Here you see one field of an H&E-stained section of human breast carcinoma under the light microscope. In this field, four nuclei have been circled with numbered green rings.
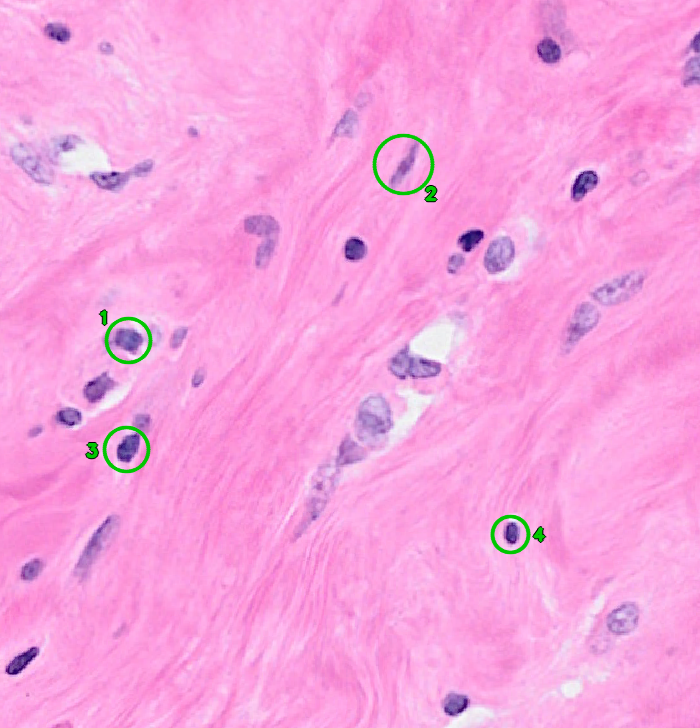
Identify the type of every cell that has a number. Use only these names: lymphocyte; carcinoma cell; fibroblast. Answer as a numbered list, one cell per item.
1. lymphocyte
2. fibroblast
3. lymphocyte
4. lymphocyte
